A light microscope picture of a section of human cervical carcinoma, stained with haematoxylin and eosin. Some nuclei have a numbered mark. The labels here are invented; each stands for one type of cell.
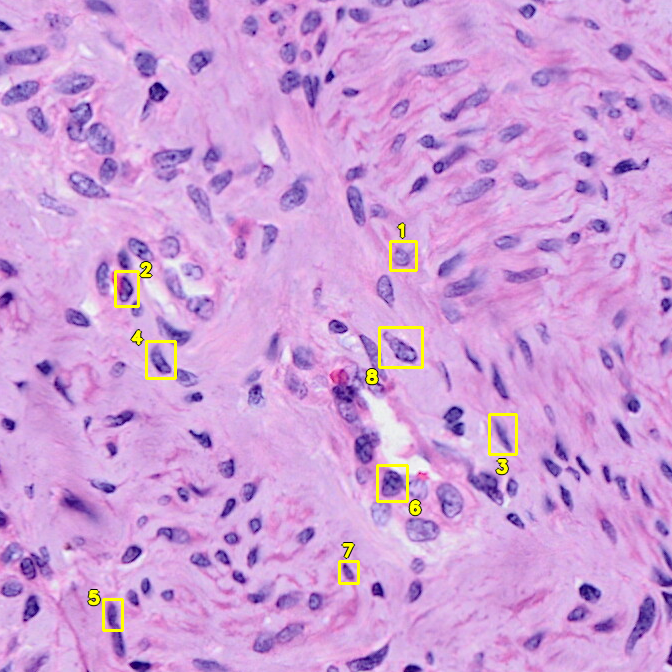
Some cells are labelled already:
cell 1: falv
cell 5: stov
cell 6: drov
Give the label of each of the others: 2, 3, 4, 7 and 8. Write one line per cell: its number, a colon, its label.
2: drov
3: stov
4: stov
7: falv
8: stov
